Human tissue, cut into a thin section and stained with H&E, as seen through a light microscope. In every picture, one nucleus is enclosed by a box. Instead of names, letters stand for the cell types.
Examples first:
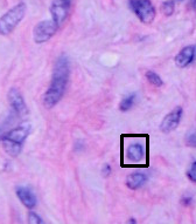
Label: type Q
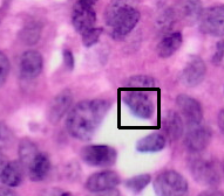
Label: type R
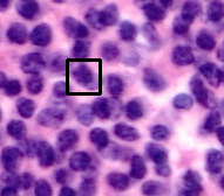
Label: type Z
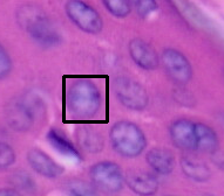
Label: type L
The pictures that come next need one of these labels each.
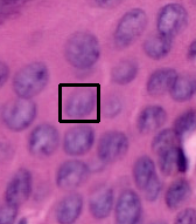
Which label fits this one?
type L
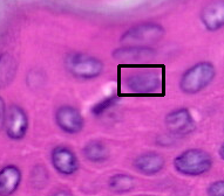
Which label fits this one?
type L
